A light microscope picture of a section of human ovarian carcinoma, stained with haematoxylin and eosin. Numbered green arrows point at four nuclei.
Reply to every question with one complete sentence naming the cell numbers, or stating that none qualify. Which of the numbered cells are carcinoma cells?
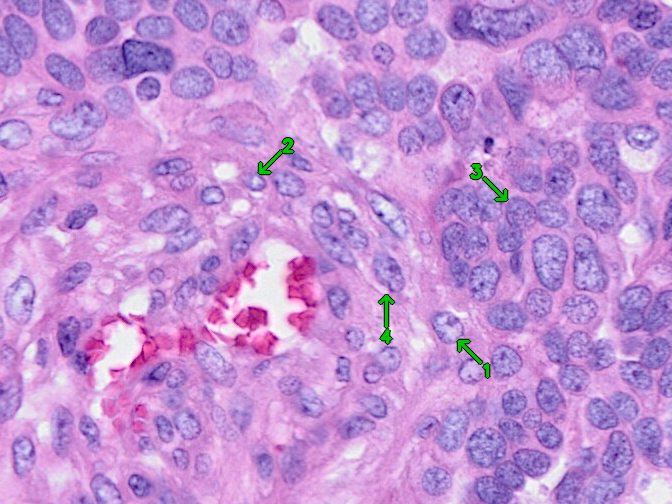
Only the nucleus marked 3 is that of a carcinoma cell.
